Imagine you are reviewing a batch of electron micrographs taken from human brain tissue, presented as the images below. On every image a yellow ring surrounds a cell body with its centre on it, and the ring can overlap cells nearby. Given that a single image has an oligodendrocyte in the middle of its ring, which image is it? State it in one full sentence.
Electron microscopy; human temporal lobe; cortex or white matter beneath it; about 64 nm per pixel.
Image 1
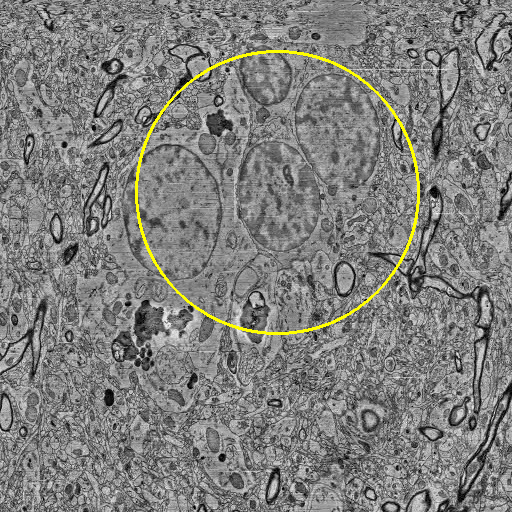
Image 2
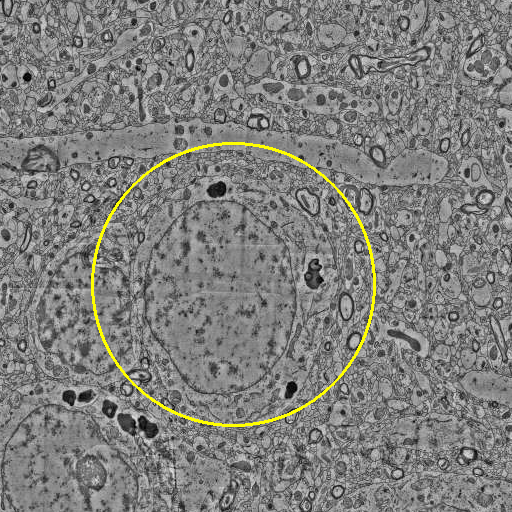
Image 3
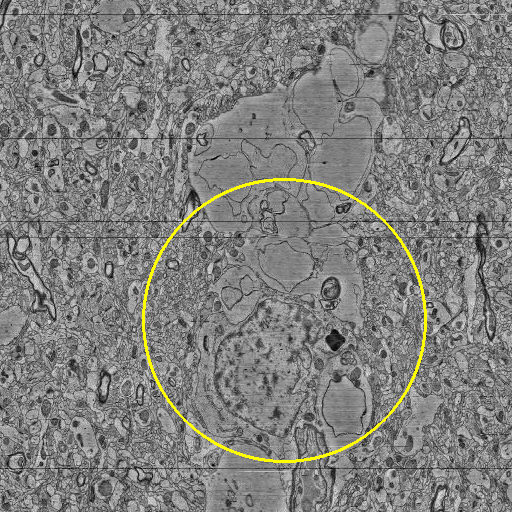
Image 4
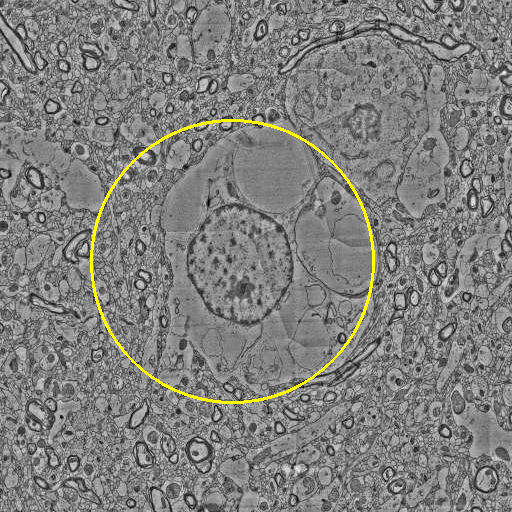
Of all the images, number 1 has the described cell at the centre of its ring.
